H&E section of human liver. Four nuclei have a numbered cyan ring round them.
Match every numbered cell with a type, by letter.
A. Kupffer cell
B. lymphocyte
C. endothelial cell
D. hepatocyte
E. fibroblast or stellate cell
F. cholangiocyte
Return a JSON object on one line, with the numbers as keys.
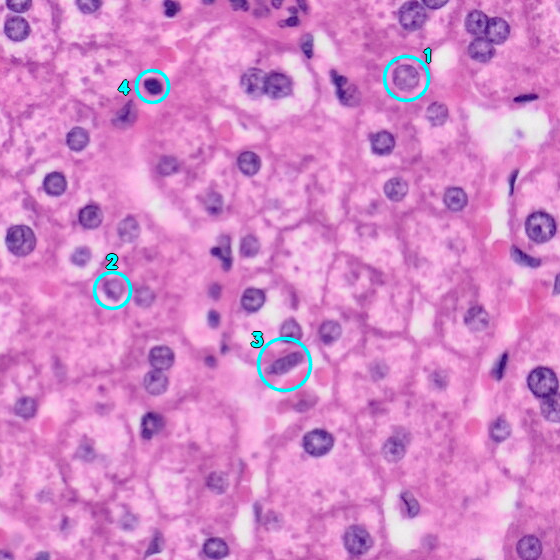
{"1": "D", "2": "D", "3": "A", "4": "B"}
